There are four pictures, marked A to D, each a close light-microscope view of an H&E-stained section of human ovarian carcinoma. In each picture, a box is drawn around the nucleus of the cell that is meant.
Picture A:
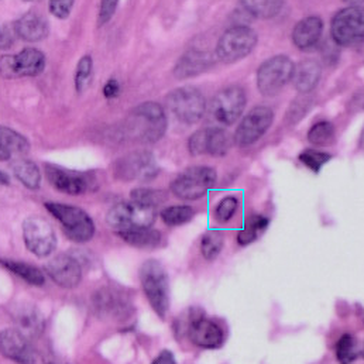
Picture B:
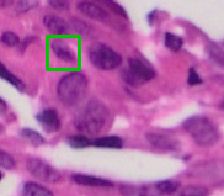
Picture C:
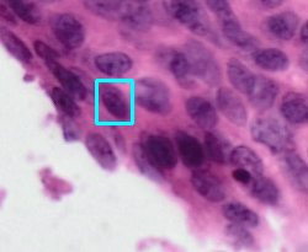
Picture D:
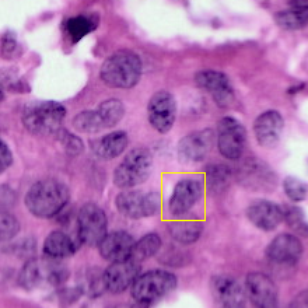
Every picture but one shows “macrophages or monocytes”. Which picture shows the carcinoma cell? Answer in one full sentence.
The picture with the carcinoma cell is C.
